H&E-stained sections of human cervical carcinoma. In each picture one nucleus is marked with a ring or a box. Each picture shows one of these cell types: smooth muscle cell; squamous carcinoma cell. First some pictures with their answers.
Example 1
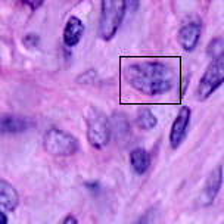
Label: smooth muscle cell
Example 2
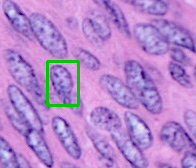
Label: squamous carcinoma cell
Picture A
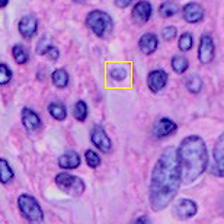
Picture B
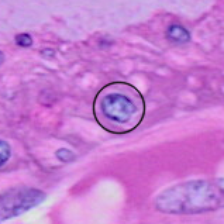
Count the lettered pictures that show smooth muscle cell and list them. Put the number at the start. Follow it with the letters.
2: A, B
